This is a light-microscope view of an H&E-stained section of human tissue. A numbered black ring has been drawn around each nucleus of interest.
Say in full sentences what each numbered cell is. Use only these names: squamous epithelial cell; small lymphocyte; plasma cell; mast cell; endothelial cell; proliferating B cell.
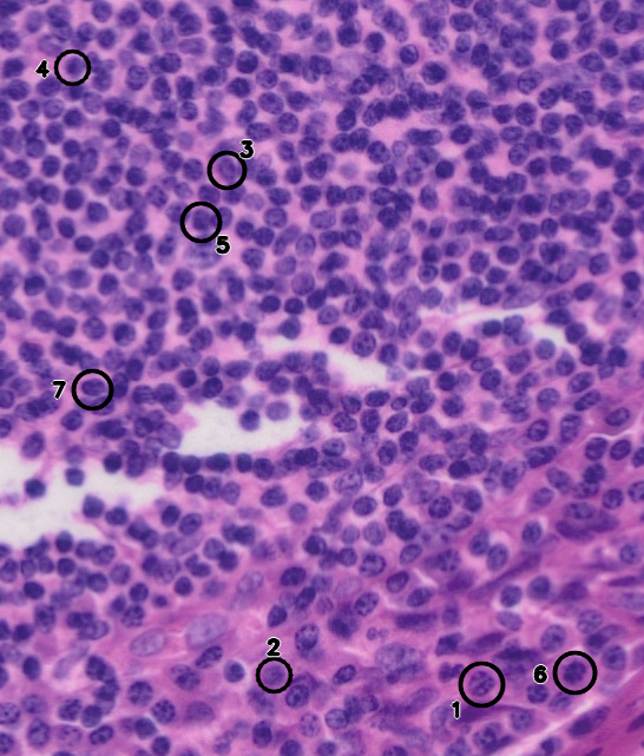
Cell 1 is a plasma cell, cell 2 is a plasma cell, cell 3 is a small lymphocyte, cell 4 is a small lymphocyte, cell 5 is a small lymphocyte, cell 6 is a plasma cell and cell 7 is a small lymphocyte.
